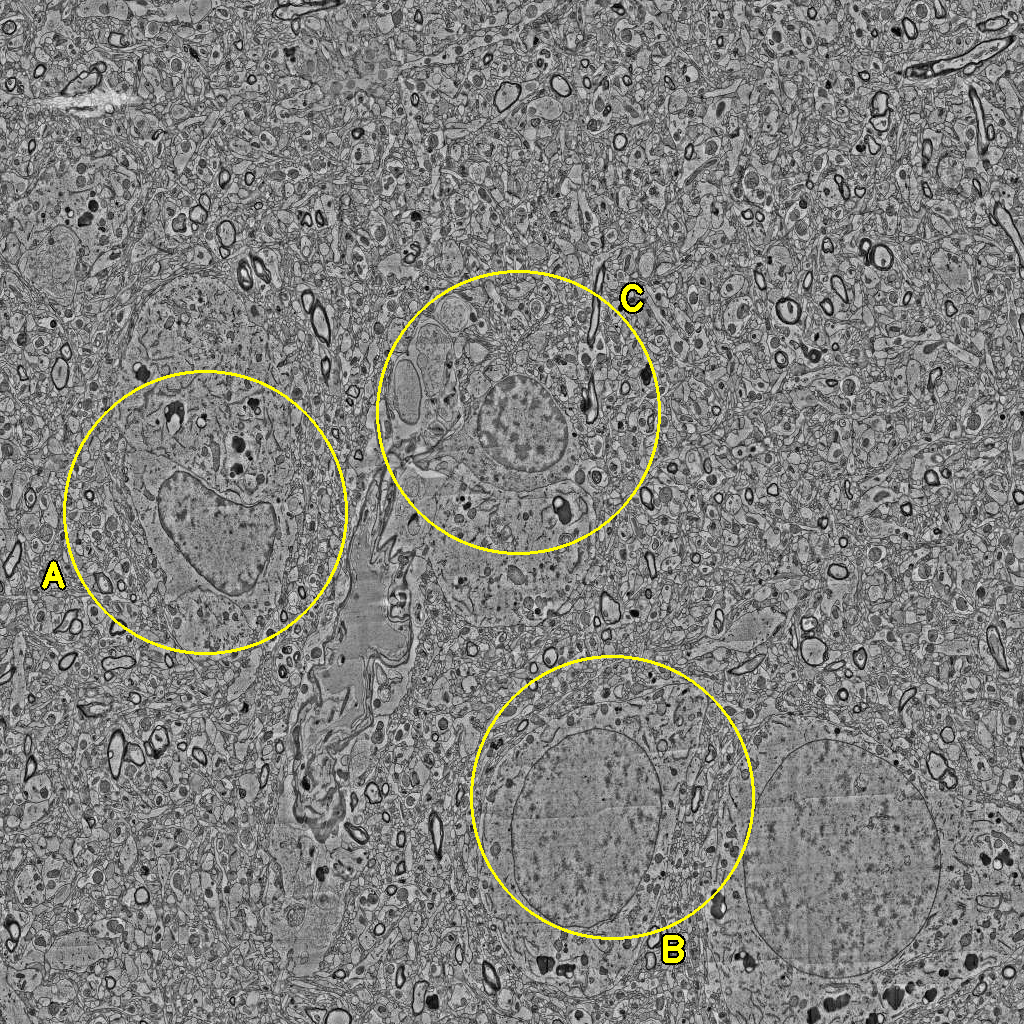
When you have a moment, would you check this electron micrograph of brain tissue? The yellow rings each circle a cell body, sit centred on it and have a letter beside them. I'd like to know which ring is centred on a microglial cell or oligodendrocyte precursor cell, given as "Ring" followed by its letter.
Ring A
